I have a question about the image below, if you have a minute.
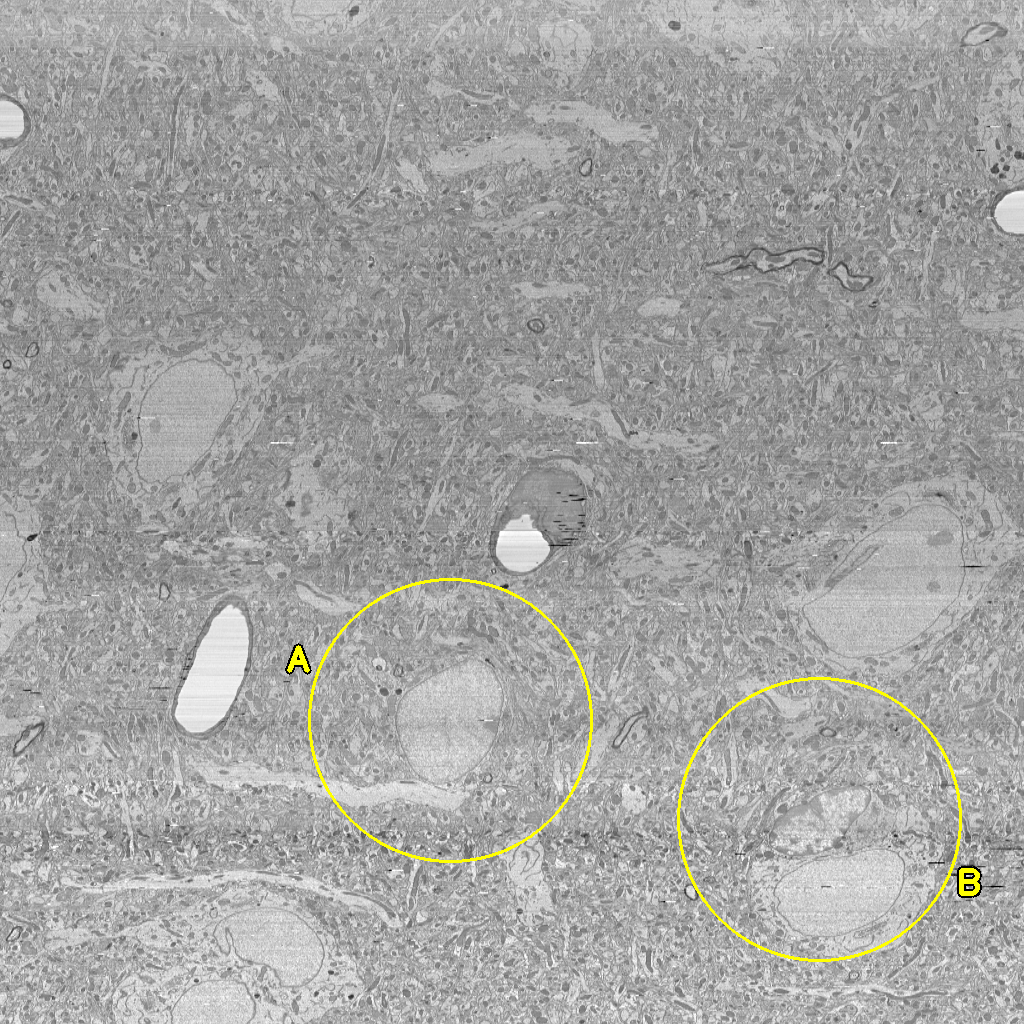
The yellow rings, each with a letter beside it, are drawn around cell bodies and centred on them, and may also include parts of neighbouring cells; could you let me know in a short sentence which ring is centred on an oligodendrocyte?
Ring B is centred on it.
